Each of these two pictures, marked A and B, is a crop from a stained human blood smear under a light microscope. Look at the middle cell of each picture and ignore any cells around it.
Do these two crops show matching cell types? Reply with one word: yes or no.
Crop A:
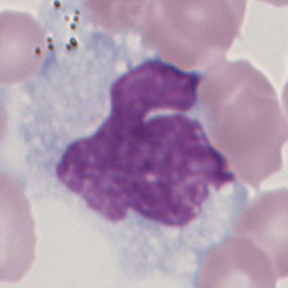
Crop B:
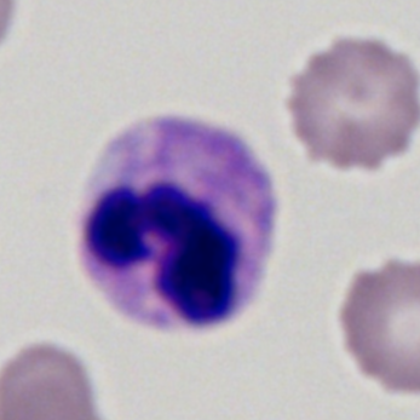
no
